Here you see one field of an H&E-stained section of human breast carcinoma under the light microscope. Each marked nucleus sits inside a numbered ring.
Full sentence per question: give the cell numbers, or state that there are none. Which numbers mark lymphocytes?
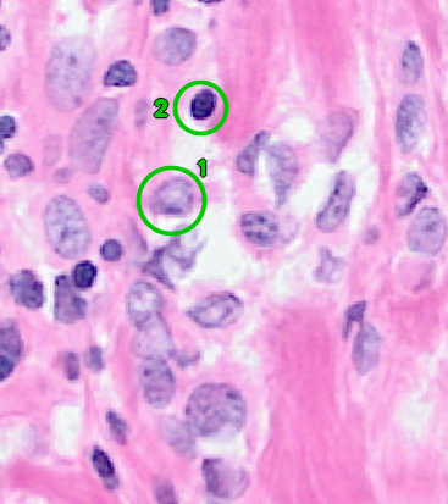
Only cell 2 qualifies as a lymphocyte among the numbered cells.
